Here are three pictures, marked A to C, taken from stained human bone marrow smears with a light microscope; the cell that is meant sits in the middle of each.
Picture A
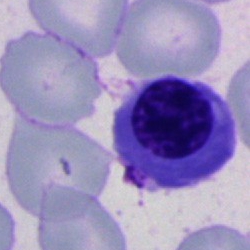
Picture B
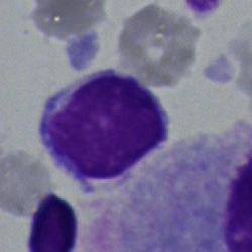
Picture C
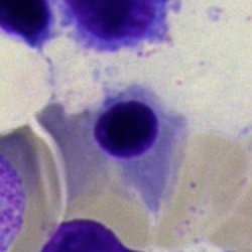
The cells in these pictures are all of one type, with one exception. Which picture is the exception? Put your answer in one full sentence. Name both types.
The others show erythroblasts, but picture B shows a lymphocyte.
